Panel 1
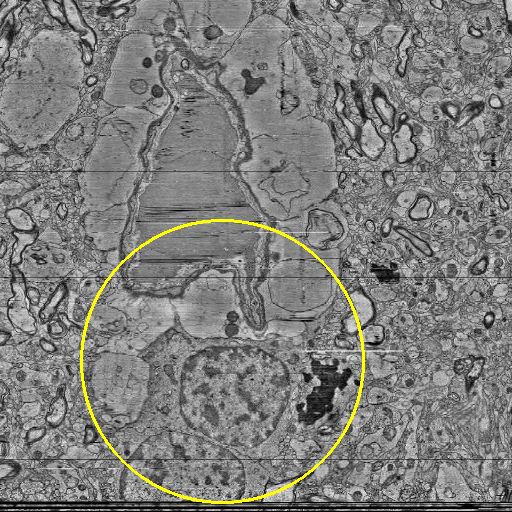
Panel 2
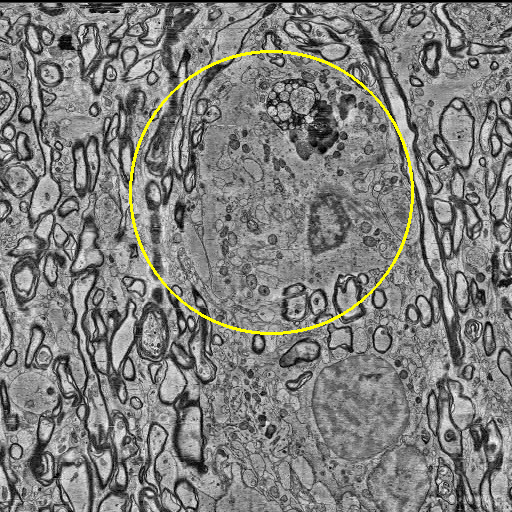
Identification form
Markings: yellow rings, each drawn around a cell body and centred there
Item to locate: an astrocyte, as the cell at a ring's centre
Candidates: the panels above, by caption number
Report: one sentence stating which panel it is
It is Panel 2.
